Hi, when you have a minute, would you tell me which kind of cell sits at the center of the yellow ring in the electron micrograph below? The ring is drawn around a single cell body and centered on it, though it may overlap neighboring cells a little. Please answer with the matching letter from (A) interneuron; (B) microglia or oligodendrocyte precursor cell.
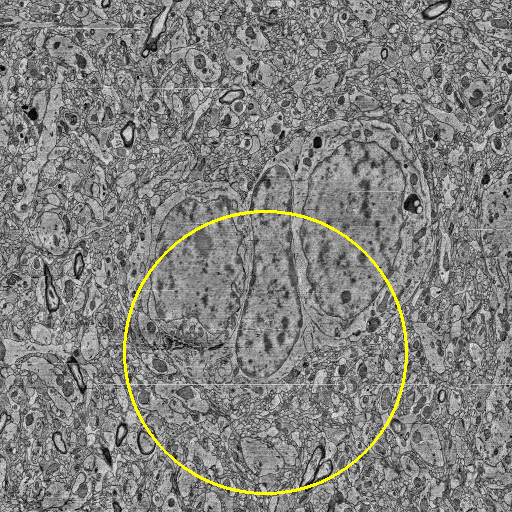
B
